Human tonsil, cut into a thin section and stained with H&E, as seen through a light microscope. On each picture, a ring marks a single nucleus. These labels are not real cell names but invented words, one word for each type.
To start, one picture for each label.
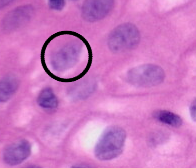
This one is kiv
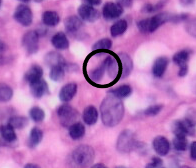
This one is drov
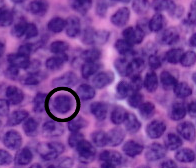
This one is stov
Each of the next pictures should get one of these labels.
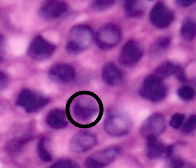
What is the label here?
kiv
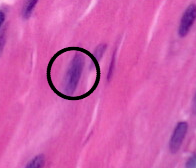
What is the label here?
drov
